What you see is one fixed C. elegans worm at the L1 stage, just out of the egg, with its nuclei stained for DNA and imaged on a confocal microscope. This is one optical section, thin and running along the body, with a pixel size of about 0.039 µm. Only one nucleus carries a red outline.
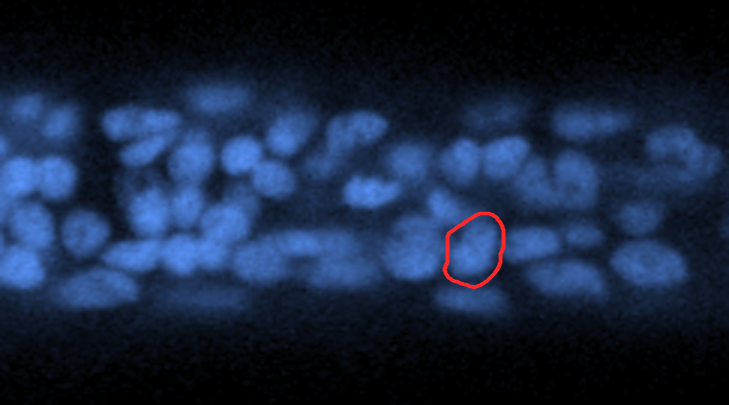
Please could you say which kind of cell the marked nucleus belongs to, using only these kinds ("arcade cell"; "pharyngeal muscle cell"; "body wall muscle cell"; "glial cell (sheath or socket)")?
arcade cell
